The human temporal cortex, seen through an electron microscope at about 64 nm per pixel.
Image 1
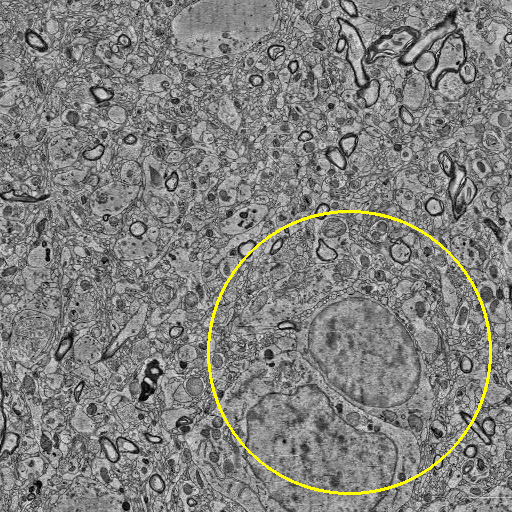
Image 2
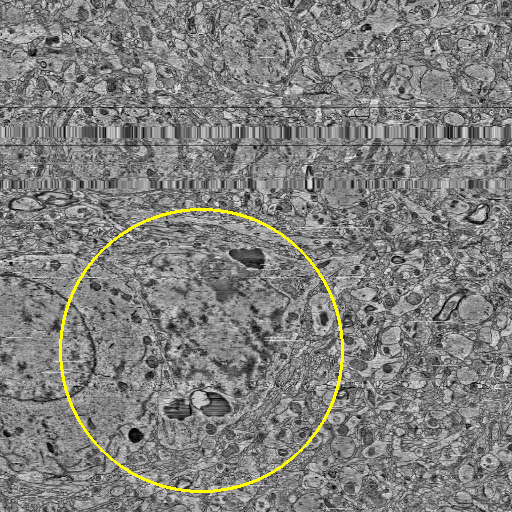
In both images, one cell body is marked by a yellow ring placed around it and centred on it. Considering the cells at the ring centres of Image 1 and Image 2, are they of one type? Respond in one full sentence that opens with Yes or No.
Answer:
No, two types apply to the ring-centred cells of Image 1 and Image 2.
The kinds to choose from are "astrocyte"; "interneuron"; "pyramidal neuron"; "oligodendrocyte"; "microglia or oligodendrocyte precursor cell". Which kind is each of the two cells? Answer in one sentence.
Of the two, the first cell is an oligodendrocyte and the second cell is an interneuron.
